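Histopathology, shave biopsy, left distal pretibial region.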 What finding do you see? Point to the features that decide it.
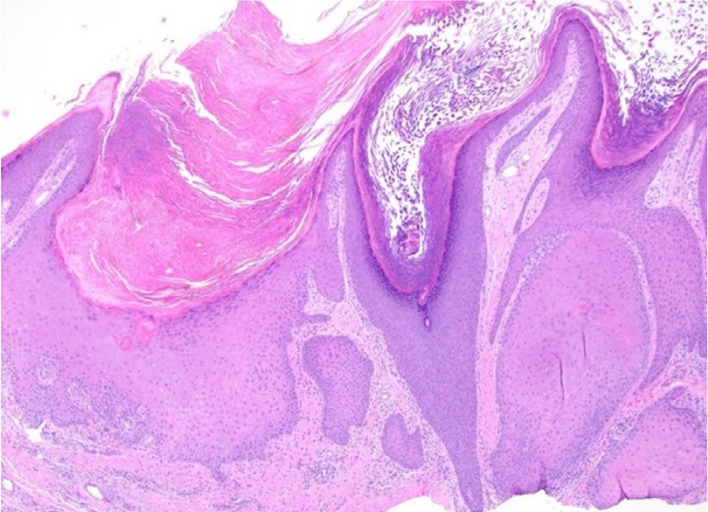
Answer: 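Verrucous endophytic epithelial proliferation. Thickened squamous epithelium pushes down into the dermis as broad bulbous lobules. The surface is undulating and papillary with thick layers of pink keratin. Dermal cores with inflammatory cells lie between epithelial folds.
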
